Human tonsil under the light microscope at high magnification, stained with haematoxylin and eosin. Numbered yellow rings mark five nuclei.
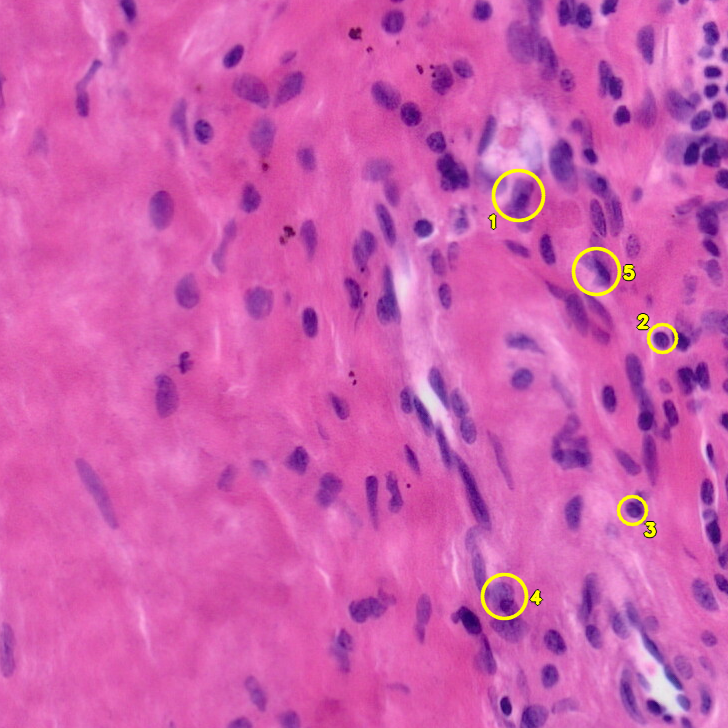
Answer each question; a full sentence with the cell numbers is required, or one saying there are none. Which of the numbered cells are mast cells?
Cells 2 and 3 are of one type, namely mast cells.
